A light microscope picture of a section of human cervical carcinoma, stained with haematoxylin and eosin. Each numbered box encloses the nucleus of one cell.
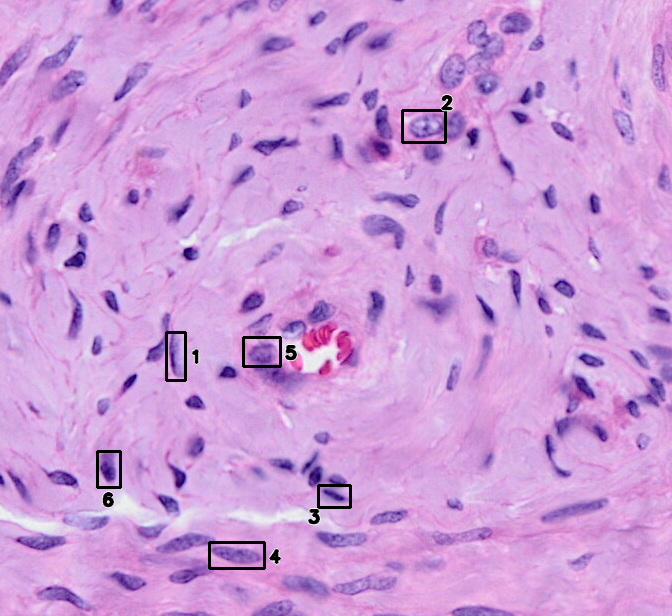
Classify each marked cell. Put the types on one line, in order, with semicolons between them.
fibroblast; endothelial cell; fibroblast; fibroblast; endothelial cell; fibroblast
